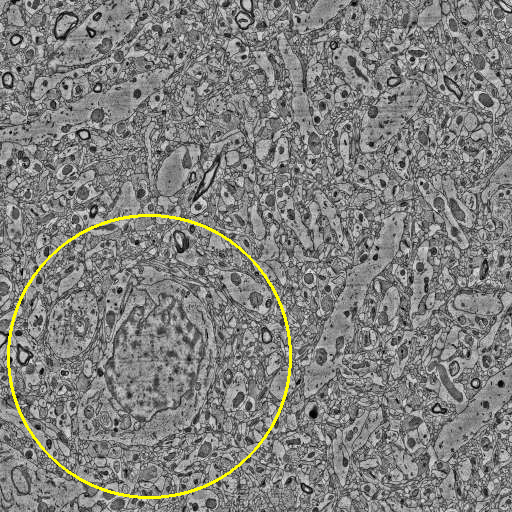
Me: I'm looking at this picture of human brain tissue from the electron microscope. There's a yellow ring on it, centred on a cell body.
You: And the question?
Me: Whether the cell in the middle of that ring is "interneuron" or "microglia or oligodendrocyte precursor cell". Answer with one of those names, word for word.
interneuron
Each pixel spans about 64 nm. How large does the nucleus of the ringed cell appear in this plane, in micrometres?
The nucleus is approximately 8 micrometers long by 6 micrometers wide in this plane.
